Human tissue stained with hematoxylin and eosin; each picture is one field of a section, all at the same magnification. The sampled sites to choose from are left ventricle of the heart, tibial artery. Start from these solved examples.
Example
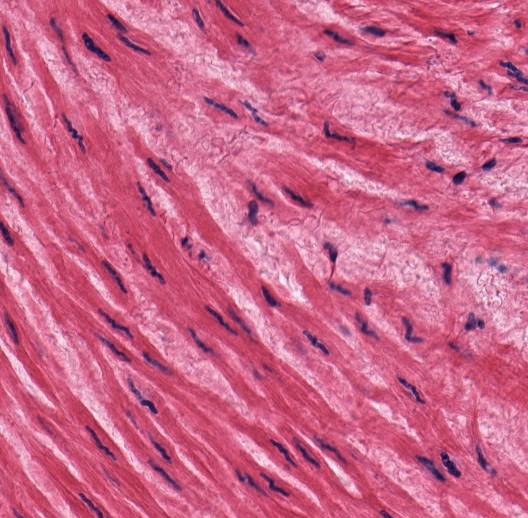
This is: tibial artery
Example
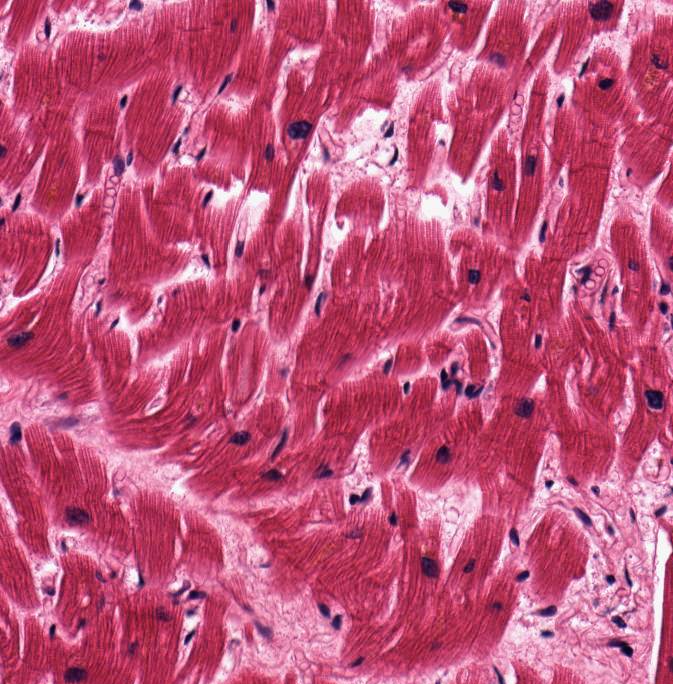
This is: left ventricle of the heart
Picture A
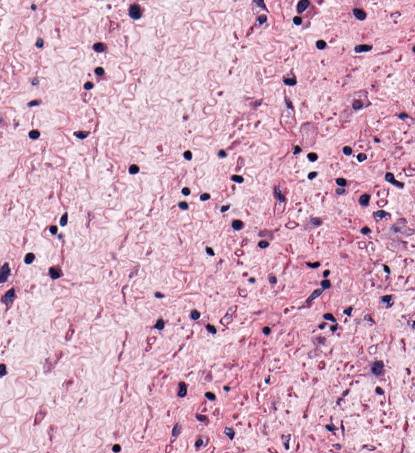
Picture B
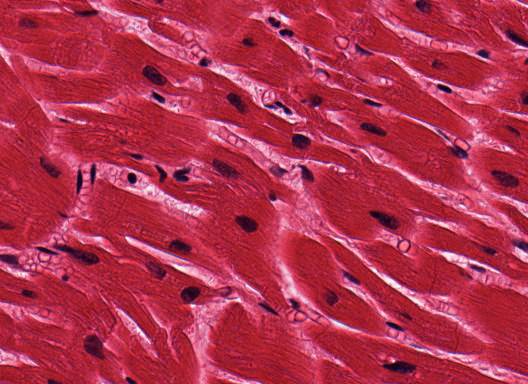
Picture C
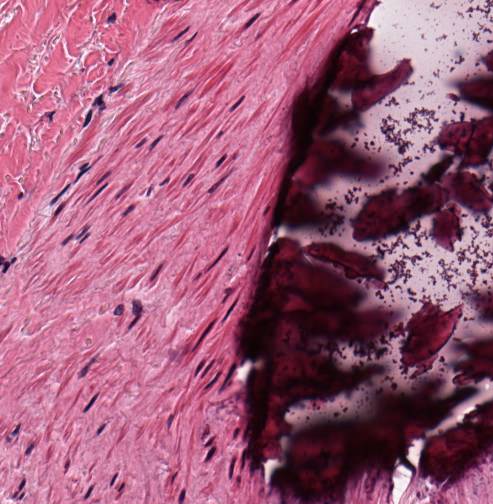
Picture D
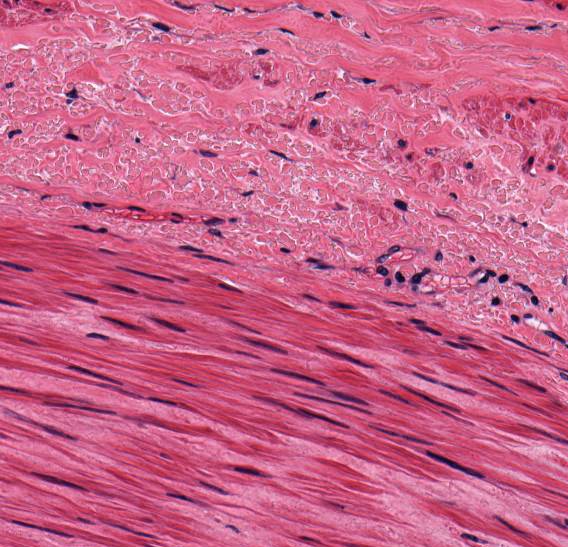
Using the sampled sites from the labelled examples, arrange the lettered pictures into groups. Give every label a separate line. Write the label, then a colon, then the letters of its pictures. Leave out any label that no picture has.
left ventricle of the heart: B
tibial artery: A, C, D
